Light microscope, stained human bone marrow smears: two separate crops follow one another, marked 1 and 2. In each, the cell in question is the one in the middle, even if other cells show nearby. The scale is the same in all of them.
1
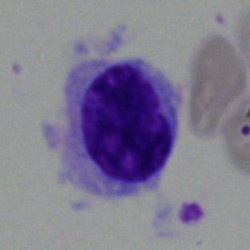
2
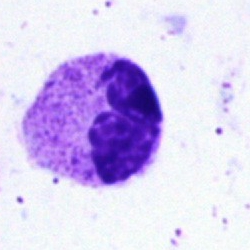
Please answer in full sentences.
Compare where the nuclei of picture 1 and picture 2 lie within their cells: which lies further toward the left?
The nucleus in picture 1 lies further toward the left of its cell.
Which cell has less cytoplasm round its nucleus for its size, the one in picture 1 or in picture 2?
Of the two, the nucleus in picture 1 makes up the greater part of its cell.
